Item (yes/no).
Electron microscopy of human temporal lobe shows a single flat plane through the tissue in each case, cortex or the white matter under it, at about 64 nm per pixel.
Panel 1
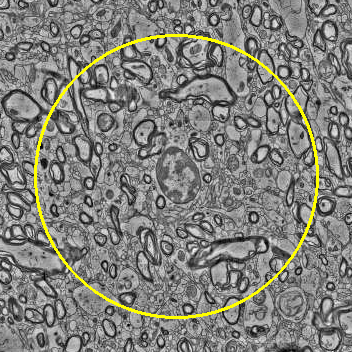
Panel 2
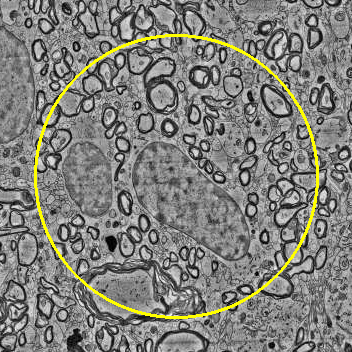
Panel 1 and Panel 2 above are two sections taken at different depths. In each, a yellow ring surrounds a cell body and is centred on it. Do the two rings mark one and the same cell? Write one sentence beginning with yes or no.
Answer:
No, the ringed cells are two separate cells.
